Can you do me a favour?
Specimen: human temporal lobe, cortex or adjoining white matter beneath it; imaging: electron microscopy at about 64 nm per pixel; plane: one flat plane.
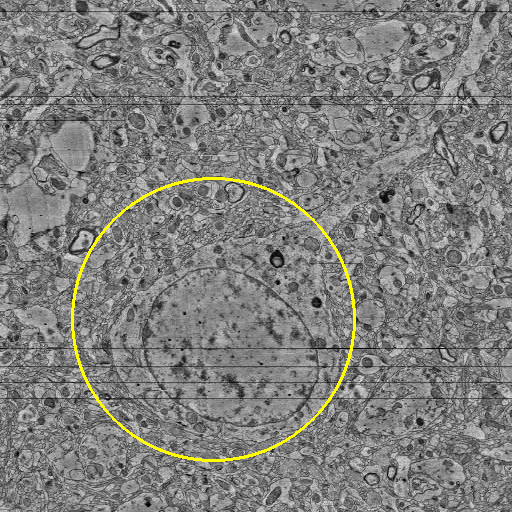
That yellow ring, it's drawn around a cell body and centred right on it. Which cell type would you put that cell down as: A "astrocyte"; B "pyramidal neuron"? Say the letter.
B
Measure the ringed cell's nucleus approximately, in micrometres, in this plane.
The ringed cell's nucleus is about 12 micrometres long and 10 micrometres wide in this plane.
